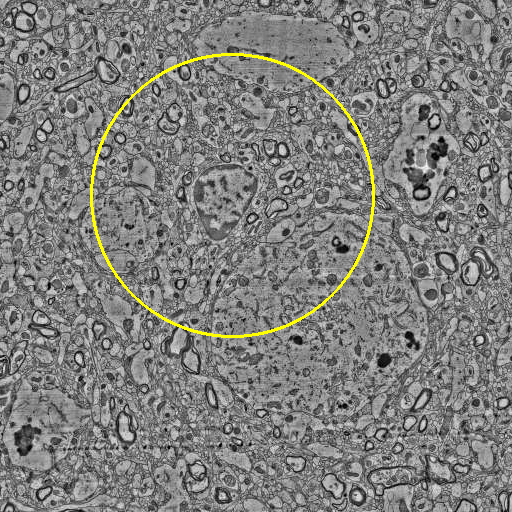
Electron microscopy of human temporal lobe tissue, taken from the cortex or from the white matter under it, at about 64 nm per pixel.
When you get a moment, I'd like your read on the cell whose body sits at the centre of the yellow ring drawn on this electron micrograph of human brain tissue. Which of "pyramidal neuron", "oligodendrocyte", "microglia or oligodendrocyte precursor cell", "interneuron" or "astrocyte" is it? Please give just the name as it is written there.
microglia or oligodendrocyte precursor cell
